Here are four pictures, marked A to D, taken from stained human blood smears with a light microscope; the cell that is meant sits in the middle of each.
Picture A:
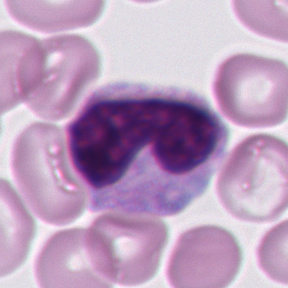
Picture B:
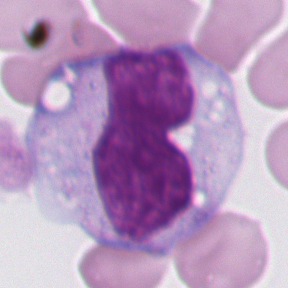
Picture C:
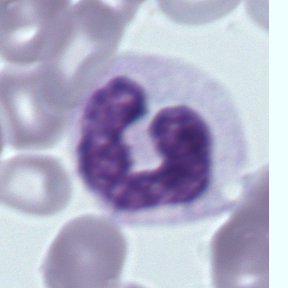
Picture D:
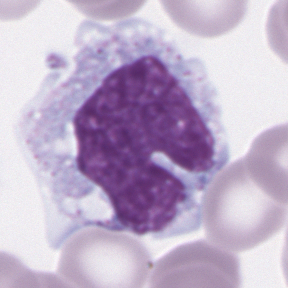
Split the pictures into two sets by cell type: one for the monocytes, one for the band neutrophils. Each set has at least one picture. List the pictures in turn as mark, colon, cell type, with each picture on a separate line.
A: band neutrophil
B: monocyte
C: band neutrophil
D: monocyte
